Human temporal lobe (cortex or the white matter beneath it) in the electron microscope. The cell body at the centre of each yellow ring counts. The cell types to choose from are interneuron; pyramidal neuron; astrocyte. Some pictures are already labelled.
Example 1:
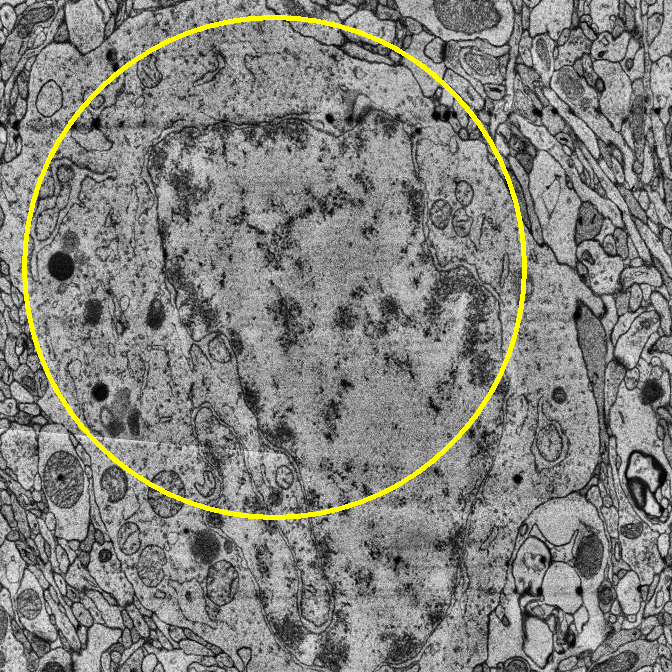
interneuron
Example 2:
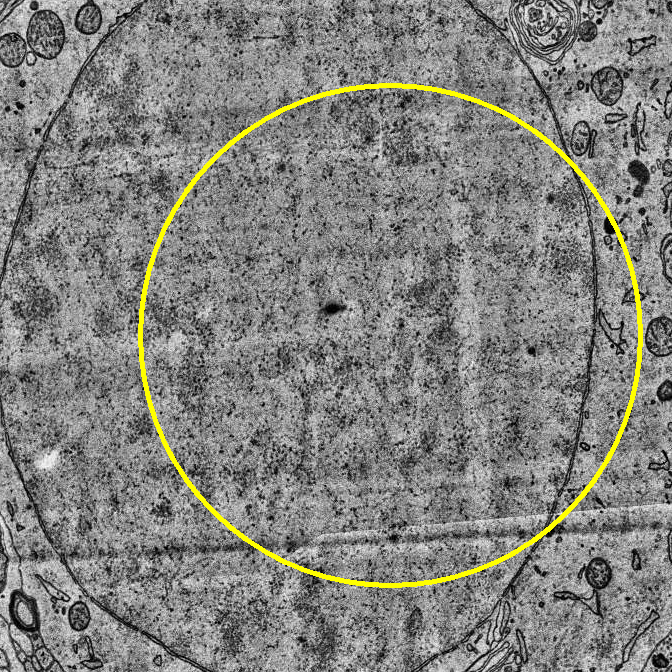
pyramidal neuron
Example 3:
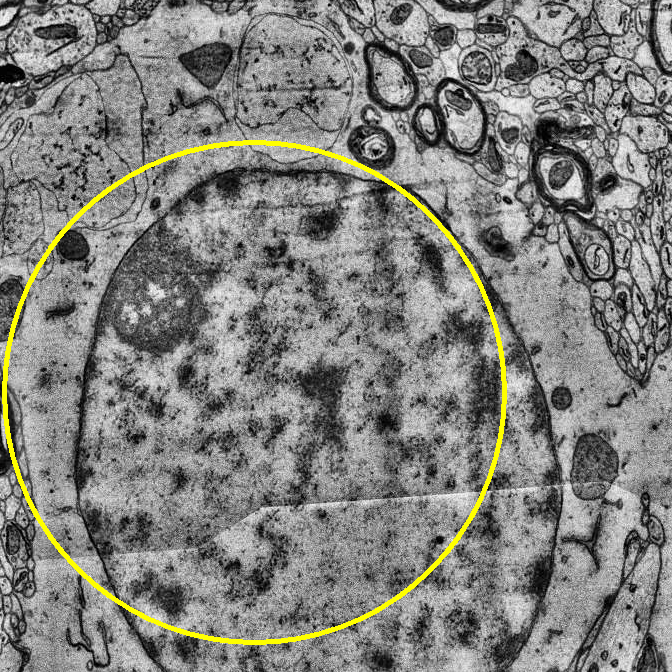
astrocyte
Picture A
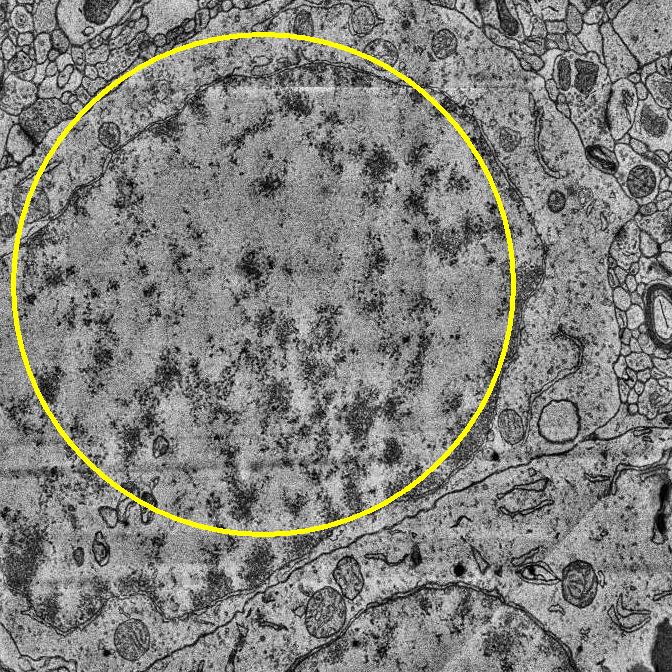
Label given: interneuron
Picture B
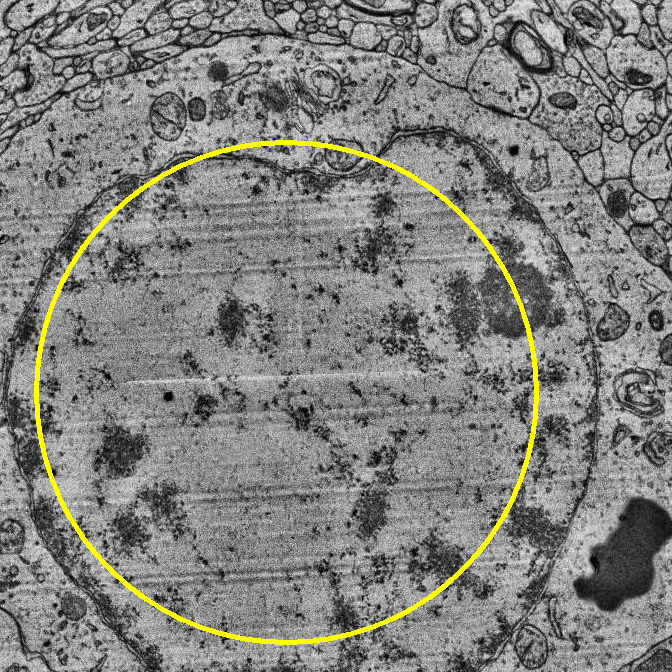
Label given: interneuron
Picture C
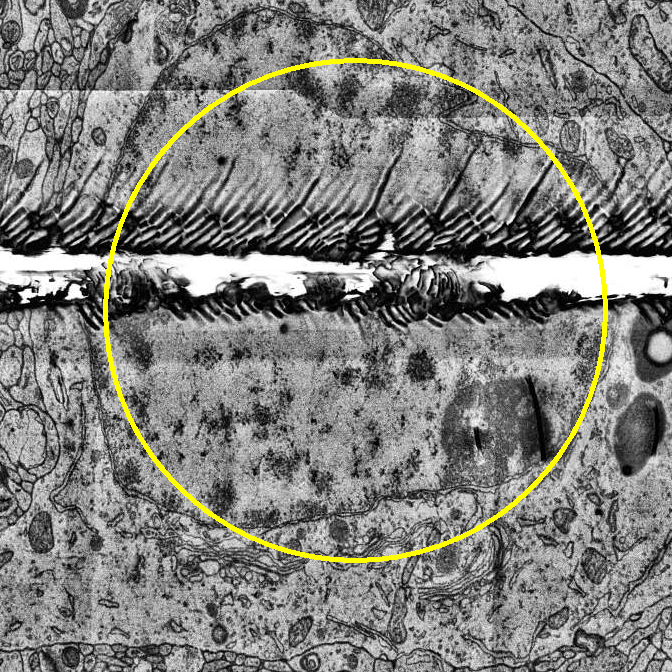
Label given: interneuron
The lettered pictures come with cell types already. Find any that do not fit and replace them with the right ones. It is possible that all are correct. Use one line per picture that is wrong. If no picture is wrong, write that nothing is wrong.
No label is wrong.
